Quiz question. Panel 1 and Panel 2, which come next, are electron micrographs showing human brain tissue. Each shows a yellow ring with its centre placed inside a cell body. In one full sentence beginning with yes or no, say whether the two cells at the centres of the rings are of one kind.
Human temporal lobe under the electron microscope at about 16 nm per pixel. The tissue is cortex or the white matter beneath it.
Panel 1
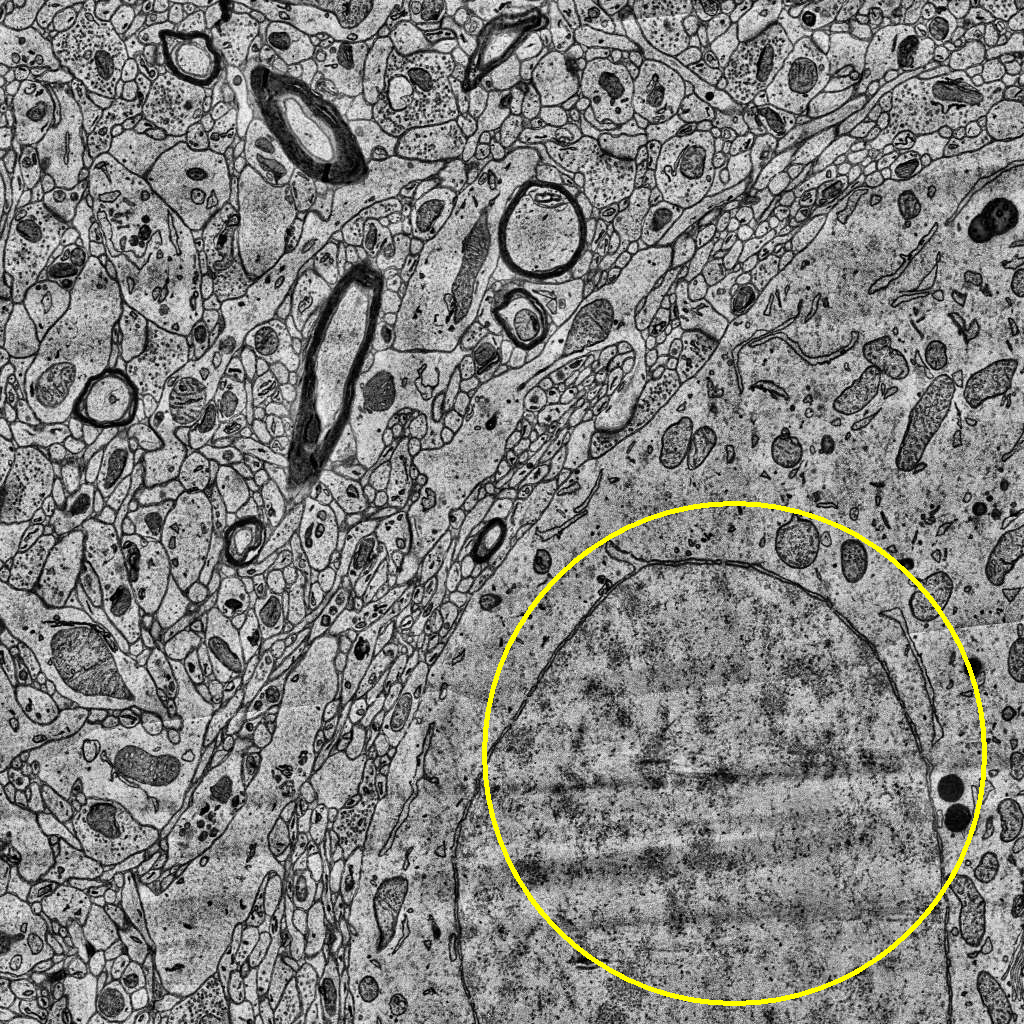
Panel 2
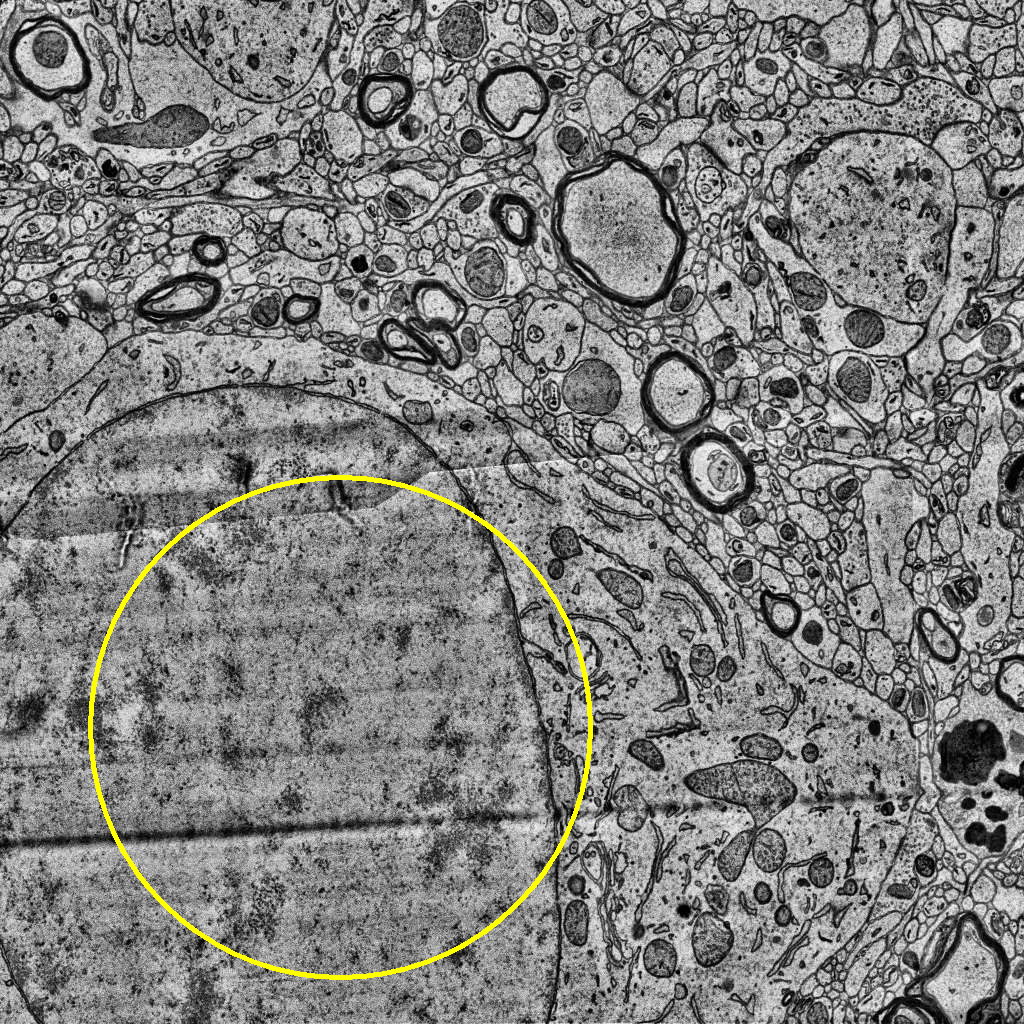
Yes, Panel 1 and Panel 2 show one kind of cell at the centre of the ring.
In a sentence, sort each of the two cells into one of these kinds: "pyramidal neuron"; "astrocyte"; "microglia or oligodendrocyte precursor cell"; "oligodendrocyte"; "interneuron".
The ring centre holds a pyramidal neuron in each of the two pictures.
